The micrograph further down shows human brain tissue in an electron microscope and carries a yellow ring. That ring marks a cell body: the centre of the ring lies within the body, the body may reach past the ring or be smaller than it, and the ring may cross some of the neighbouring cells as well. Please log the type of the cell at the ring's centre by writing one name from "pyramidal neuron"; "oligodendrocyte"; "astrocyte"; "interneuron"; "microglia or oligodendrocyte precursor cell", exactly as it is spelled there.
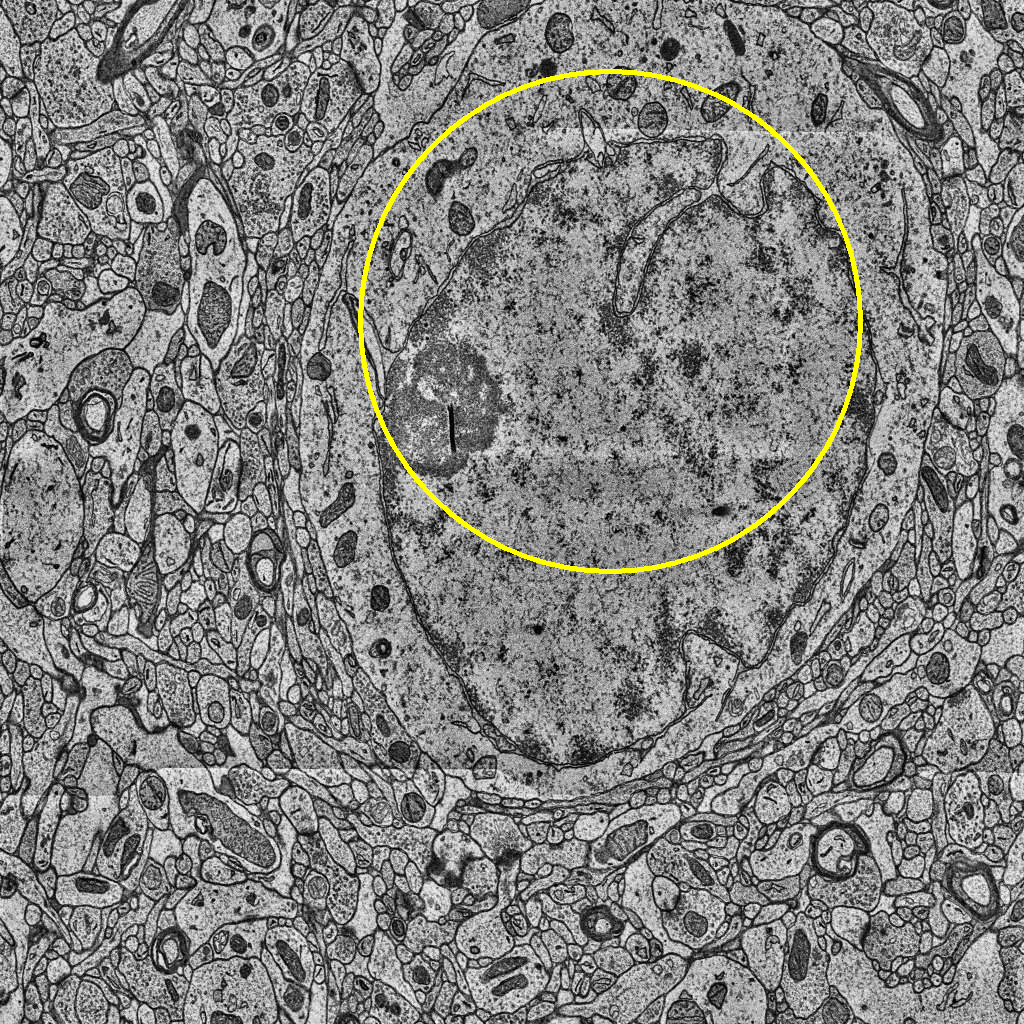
interneuron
